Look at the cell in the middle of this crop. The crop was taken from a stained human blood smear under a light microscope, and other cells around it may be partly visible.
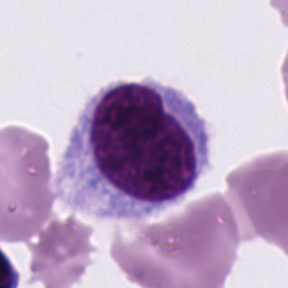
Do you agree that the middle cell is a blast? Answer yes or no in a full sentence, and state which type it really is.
No, the cell centered in the crop is a hairy cell, not a blast.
